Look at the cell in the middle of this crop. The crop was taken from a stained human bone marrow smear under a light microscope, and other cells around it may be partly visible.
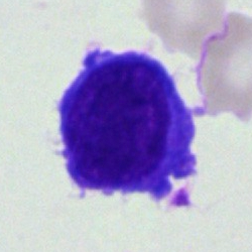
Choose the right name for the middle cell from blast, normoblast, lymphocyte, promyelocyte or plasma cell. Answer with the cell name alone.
blast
